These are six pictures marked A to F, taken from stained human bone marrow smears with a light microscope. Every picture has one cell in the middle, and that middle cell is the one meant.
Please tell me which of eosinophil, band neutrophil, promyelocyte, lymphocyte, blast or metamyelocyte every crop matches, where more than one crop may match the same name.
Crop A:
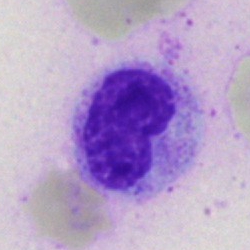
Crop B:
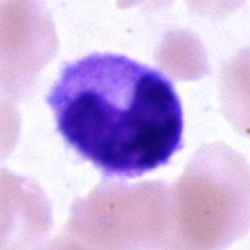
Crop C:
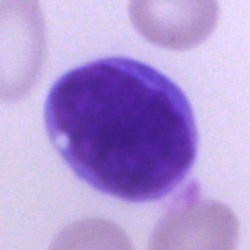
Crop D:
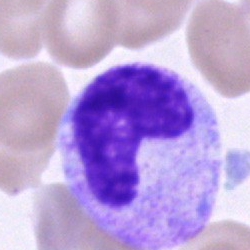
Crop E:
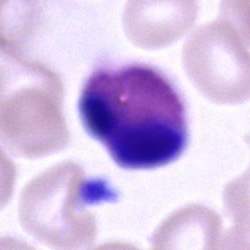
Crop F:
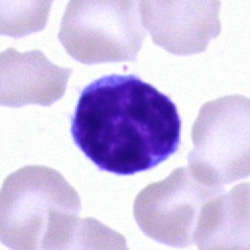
A: metamyelocyte
B: metamyelocyte
C: blast
D: metamyelocyte
E: eosinophil
F: lymphocyte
